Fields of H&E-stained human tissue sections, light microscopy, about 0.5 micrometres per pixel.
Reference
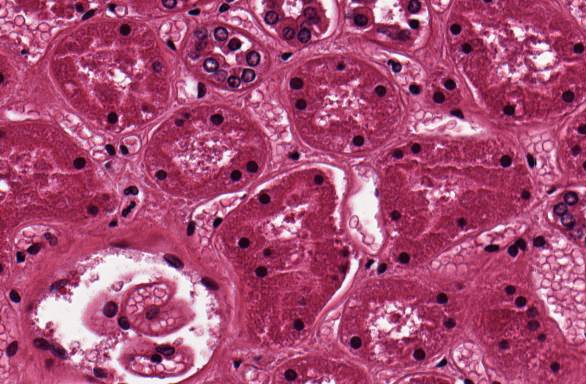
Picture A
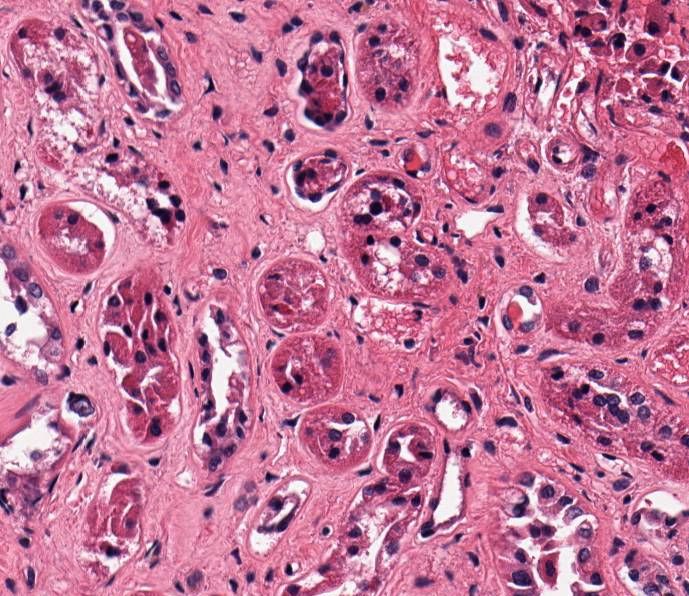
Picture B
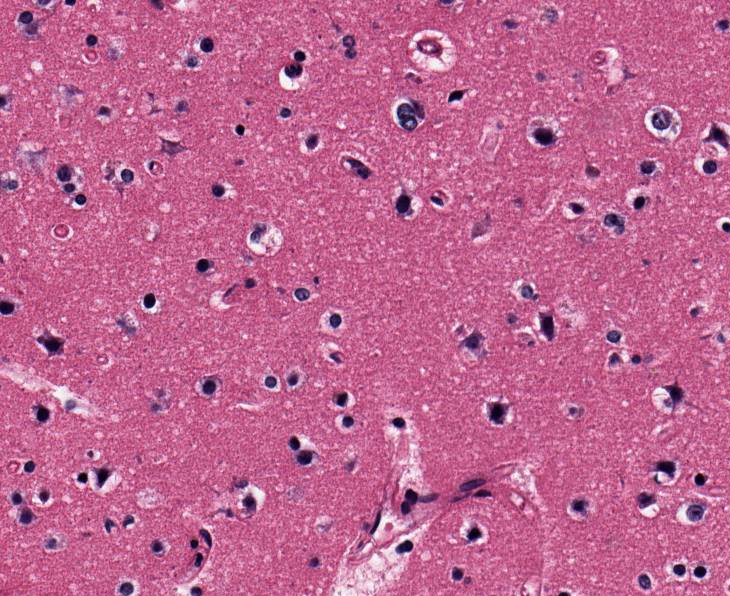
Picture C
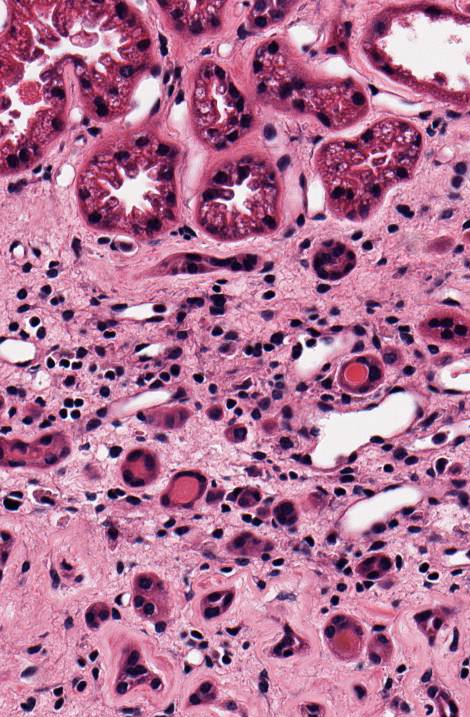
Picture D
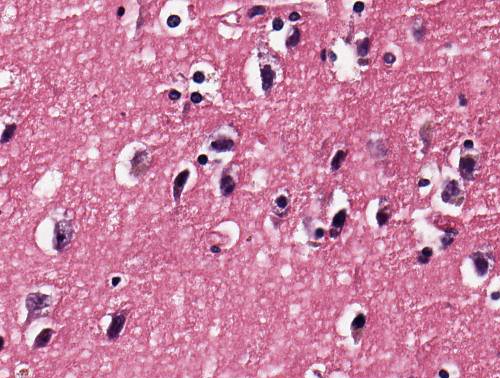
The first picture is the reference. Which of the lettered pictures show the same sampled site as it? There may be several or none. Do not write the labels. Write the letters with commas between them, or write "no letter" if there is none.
A, C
